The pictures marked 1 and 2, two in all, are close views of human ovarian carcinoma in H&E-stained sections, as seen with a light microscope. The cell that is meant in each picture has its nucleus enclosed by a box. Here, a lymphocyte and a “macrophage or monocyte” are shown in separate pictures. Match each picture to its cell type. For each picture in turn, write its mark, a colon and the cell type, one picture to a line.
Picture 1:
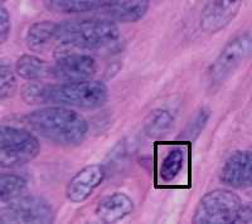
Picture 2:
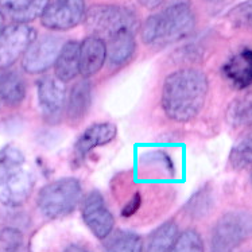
1: lymphocyte
2: macrophage or monocyte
